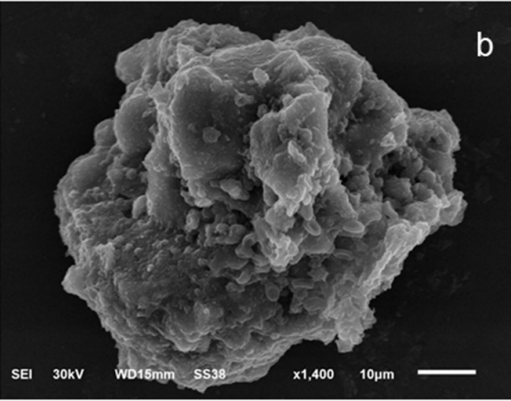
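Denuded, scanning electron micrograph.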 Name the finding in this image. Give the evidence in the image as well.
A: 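The cell outline is irregular, not spherical. The surface is broken into rough plates and many small granular lumps.
Conclusion: loss of round shape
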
